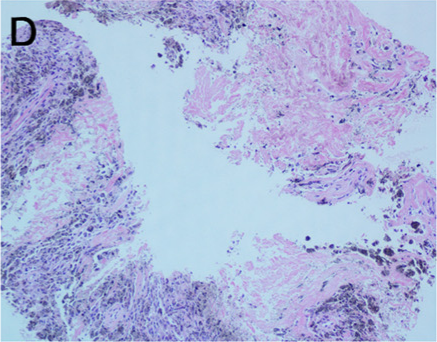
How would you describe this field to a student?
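Fibrous tissue with hyaline change and chronic inflammatory cell infiltration, with carbon deposits. Broad bands of pale pink, wavy, poorly cellular fibrous material run through the field, with thick glassy fibres. Between and along these bands lie dense clusters of cells with small, dark purple nuclei. Coarse black granular pigment is scattered among these cellular clusters, most heavily at the edges of the fibrous bands. A large empty clear space occupies the centre of the section, where tissue is absent.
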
